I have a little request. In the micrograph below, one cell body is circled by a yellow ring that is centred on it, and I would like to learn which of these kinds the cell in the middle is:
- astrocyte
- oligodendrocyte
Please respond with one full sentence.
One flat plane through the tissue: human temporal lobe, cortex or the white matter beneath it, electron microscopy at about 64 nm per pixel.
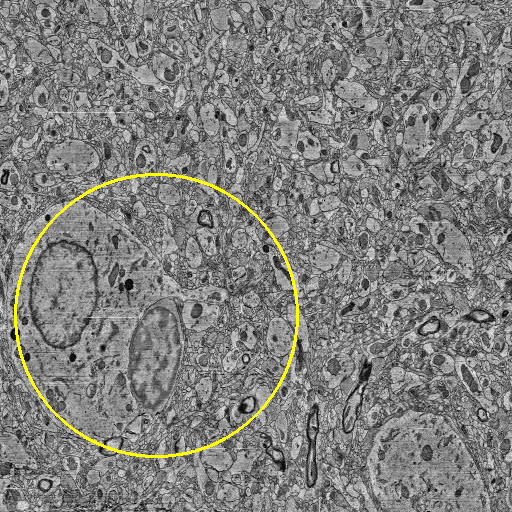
The cell sitting in the middle of the yellow ring in the micrograph is an oligodendrocyte.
